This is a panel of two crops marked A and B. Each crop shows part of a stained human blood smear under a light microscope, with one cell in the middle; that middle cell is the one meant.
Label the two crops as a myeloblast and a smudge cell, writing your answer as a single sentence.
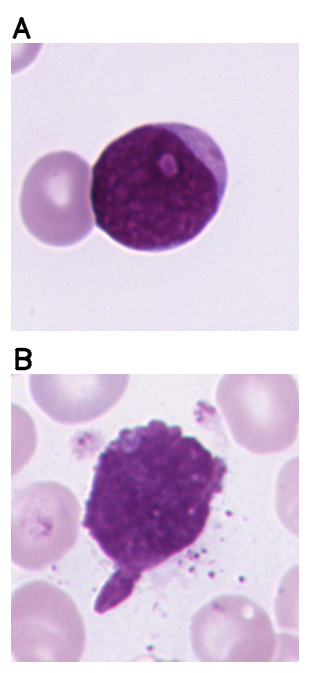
Crop A depicts a myeloblast, and a smudge cell is depicted in crop B.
